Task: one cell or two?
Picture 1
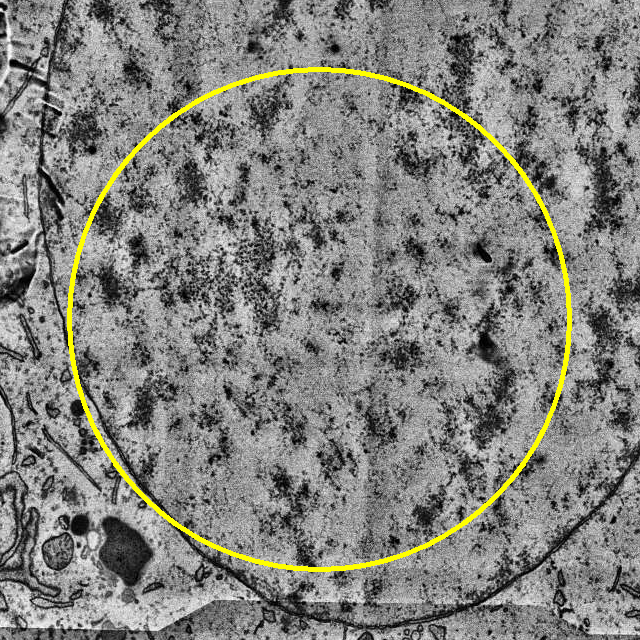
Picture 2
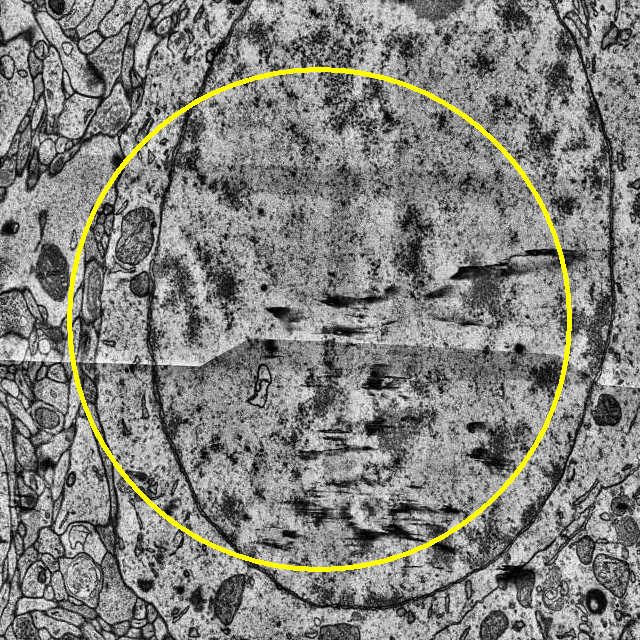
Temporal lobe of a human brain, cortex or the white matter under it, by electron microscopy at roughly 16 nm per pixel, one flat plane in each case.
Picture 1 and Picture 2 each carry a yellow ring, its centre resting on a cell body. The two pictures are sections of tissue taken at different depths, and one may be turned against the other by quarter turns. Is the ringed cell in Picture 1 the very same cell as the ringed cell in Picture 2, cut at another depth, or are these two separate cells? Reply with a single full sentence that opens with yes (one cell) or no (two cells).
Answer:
No, these two rings belong to two distinct cells.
